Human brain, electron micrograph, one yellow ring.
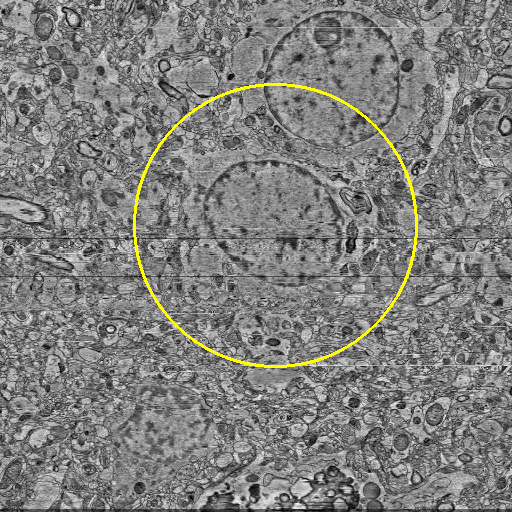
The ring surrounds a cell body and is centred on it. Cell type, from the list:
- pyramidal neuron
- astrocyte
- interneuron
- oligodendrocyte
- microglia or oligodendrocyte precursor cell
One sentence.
The yellow ring circles an astrocyte.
